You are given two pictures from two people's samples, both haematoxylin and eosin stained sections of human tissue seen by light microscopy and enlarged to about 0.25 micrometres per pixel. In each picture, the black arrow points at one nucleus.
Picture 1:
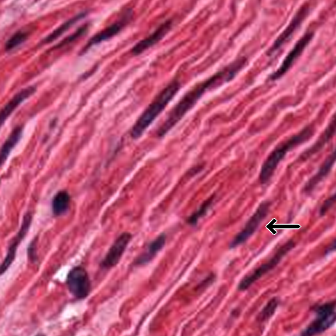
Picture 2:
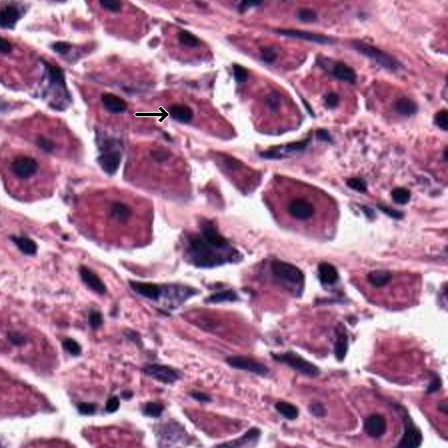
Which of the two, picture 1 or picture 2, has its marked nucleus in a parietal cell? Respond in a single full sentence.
The nucleus marked in picture 2 is that of a parietal cell, unlike the one in the other picture.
